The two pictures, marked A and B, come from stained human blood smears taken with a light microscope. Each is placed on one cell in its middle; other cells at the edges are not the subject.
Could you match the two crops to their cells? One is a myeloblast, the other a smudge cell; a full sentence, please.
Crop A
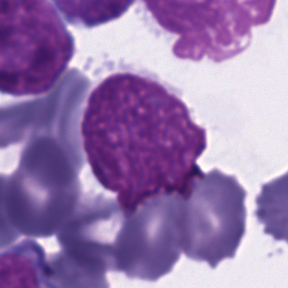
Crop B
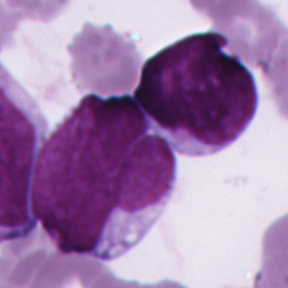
Crop B shows a myeloblast, and crop A shows a smudge cell.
